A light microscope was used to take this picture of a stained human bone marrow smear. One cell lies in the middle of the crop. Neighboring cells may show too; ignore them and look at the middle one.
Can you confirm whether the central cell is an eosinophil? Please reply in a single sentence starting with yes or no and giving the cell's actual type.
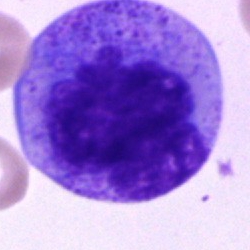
No, the central cell does not represent an eosinophil, but a promyelocyte.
